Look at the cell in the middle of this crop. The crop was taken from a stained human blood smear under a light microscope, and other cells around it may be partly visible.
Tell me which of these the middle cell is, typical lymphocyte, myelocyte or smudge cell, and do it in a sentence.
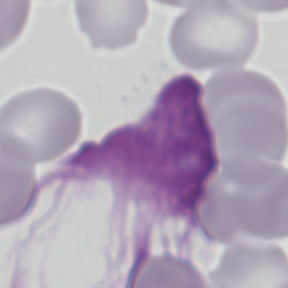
Looking at the middle of the crop, the cell there is a smudge cell.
